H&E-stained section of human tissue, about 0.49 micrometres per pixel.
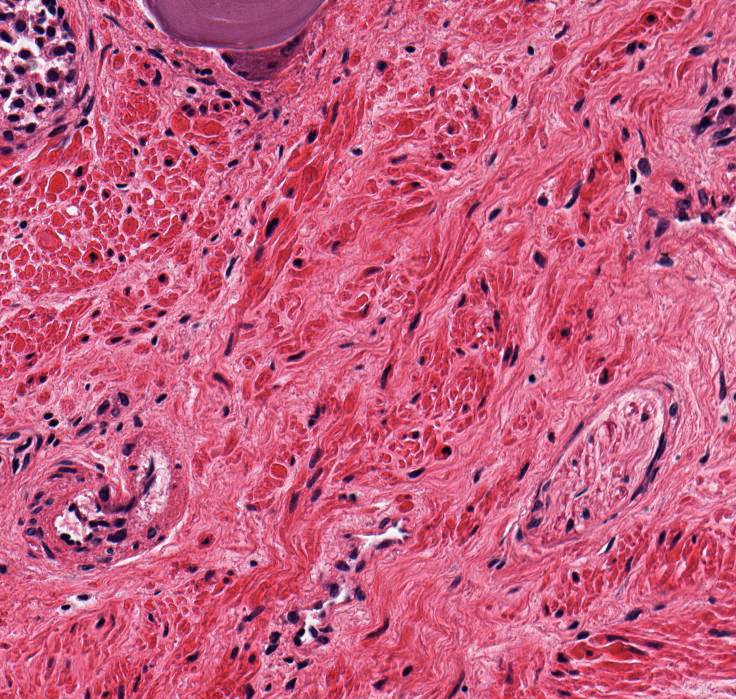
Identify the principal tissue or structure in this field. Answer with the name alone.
fibromuscular stroma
